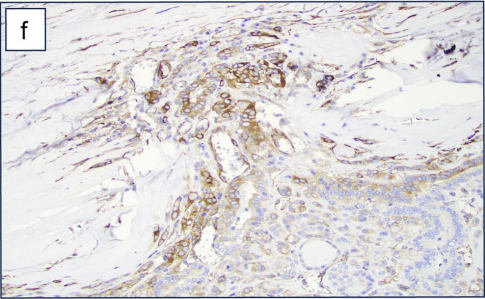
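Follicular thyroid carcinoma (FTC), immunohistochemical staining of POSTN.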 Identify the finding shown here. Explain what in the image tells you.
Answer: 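Clusters of brown-stained epithelial cells lie within pale bands of dense fibrous tissue. Small follicles and cell nests extend into the fibrous band away from the main tumour.
Capsular invasion.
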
